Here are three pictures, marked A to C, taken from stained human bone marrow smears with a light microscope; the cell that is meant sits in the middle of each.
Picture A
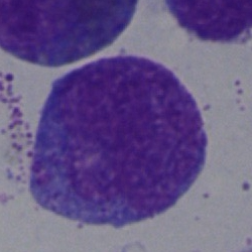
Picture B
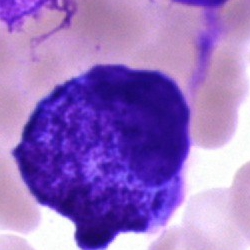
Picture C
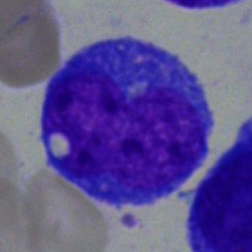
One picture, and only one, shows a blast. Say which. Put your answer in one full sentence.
The cell in picture C is the blast.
